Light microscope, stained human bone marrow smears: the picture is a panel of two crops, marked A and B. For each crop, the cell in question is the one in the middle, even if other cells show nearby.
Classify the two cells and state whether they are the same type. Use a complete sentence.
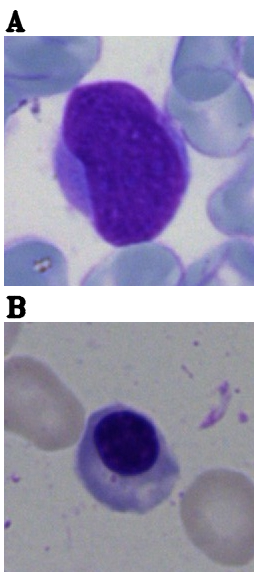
No, a blast is the cell in crop A; an erythroblast is the cell in crop B.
